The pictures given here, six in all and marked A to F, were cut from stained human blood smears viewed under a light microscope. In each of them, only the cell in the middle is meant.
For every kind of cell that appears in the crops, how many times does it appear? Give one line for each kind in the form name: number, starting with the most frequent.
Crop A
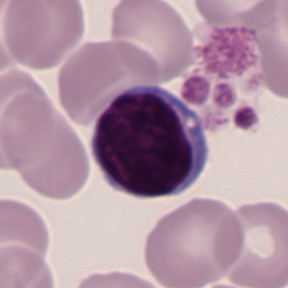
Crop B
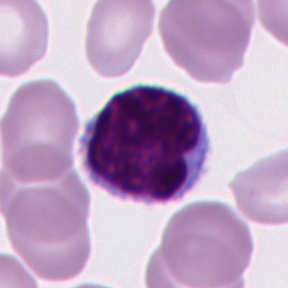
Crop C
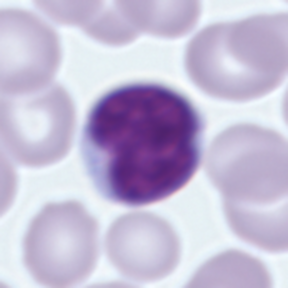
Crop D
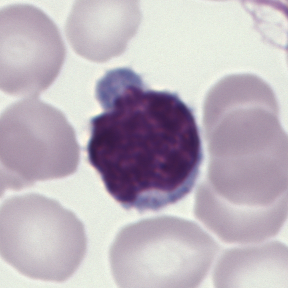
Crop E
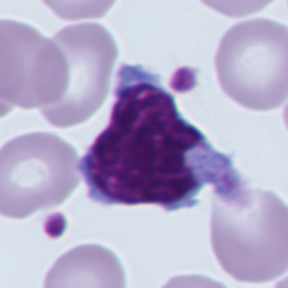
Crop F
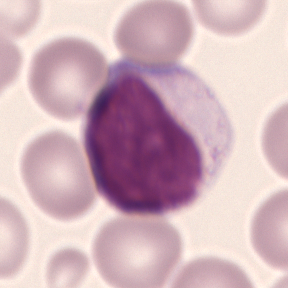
typical lymphocyte: 5
large granular lymphocyte: 1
